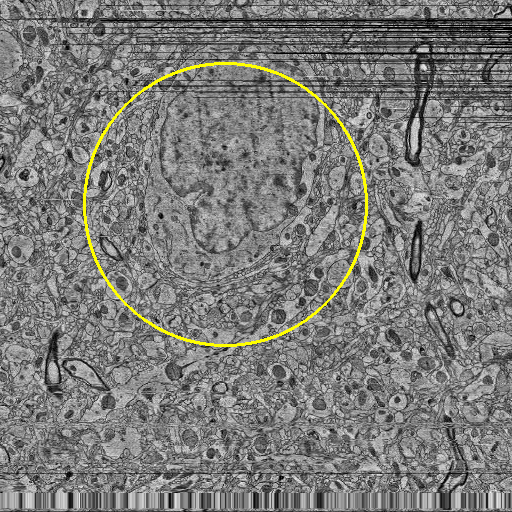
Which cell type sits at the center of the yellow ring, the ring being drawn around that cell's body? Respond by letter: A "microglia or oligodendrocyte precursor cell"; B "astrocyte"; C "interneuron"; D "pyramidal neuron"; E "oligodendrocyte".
C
